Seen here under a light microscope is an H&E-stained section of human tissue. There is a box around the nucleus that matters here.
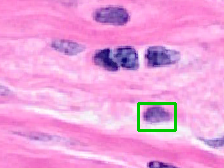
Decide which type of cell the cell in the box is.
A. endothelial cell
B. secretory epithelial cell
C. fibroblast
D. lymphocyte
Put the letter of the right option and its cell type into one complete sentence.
The right pick is option D; the cell in the box is a lymphocyte.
